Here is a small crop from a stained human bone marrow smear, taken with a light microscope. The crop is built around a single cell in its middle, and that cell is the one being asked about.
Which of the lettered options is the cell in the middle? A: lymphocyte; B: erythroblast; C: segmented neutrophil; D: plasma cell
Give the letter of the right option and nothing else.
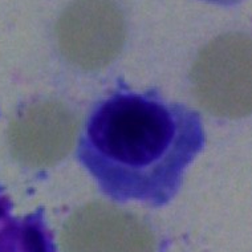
B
